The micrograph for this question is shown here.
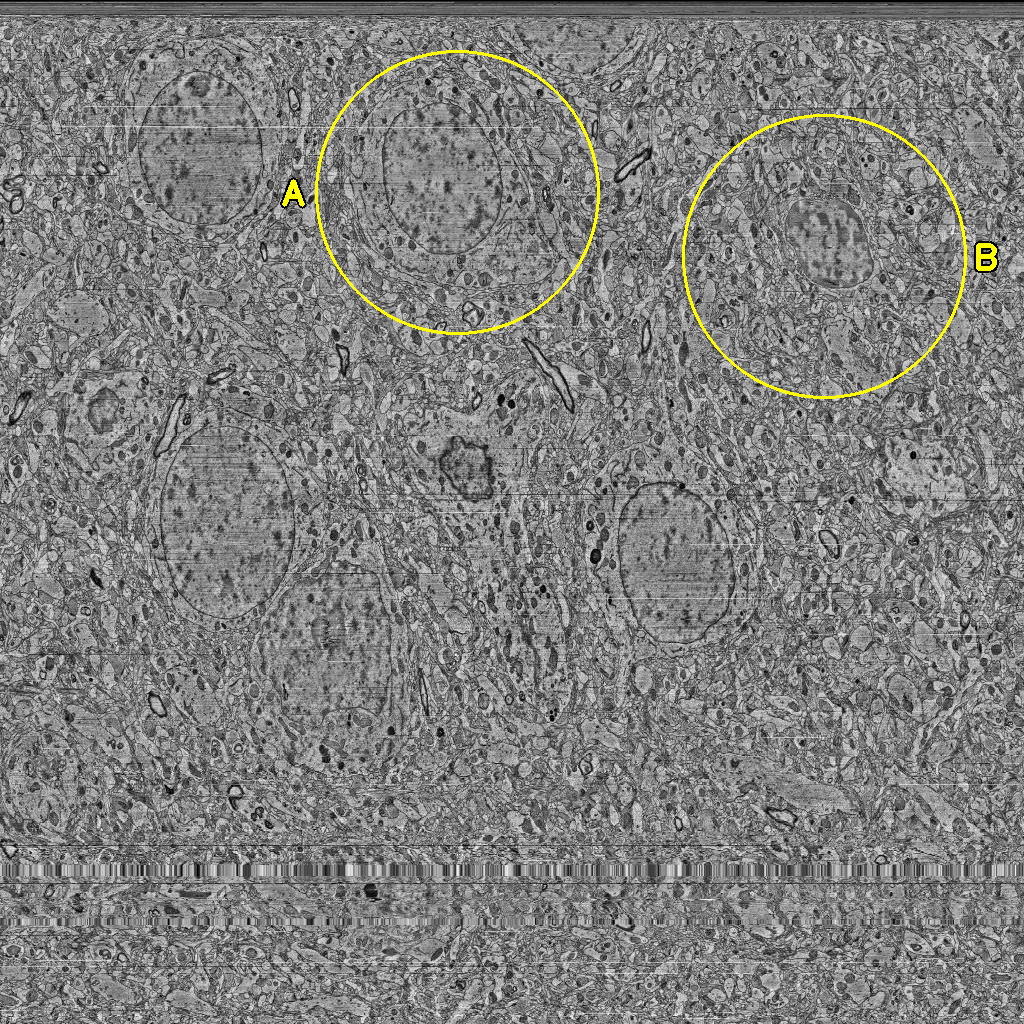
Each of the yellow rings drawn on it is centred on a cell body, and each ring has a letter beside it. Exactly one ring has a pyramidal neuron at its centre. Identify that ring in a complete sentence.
The ring centred on it is ring A.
